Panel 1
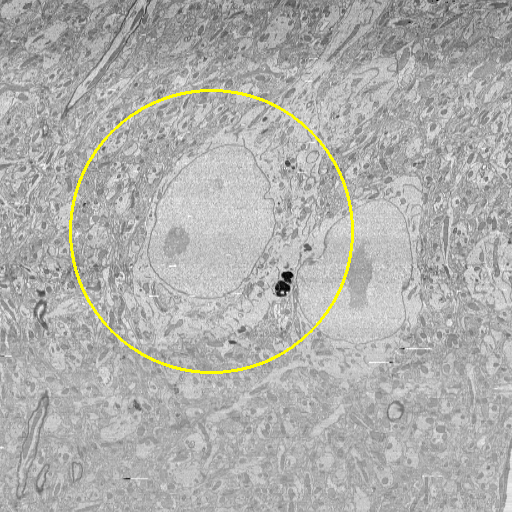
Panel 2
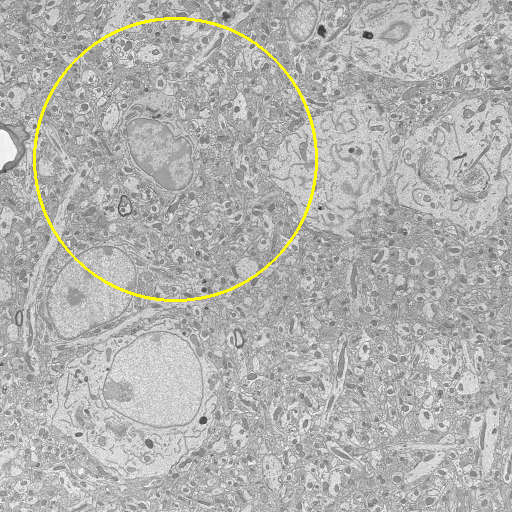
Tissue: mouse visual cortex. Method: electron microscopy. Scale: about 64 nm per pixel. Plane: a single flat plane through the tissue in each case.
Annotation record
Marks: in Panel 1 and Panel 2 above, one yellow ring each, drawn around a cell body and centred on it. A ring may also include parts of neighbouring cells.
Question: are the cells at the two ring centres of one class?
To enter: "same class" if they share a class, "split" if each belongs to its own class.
split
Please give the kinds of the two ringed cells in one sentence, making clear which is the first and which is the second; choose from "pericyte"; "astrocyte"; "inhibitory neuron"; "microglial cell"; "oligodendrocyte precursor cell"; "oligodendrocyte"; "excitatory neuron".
In the second picture the ringed cell is a microglial cell; in the first it is an excitatory neuron.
